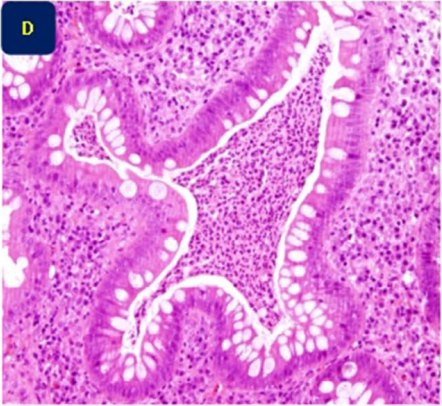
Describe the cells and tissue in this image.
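This is colonic mucosa with a crypt cut lengthwise, lined by columnar epithelium and pale goblet cells. The crypt lumen is widened and filled with a dense crowd of small inflammatory cells with dark nuclei. A narrow clear space separates this plug of cells from the epithelial lining. The surrounding stroma is also rich in inflammatory cells.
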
